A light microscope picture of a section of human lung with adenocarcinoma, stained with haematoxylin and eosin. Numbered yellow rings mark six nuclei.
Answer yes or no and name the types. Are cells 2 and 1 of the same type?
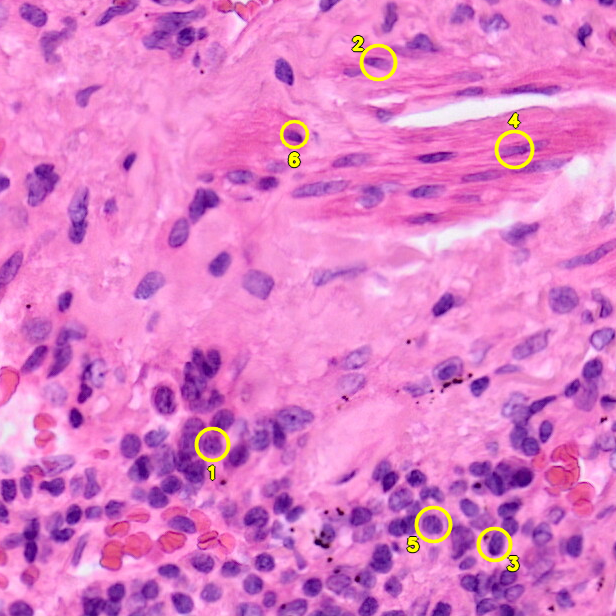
No, unlike cell 2, which is a smooth muscle cell or pericyte, cell 1 is a lymphocyte.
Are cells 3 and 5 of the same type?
Yes, cells 3 and 5 both qualify as lymphocytes.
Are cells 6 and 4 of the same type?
Yes, cells 6 and 4 are both recognised as smooth muscle cells or pericytes.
